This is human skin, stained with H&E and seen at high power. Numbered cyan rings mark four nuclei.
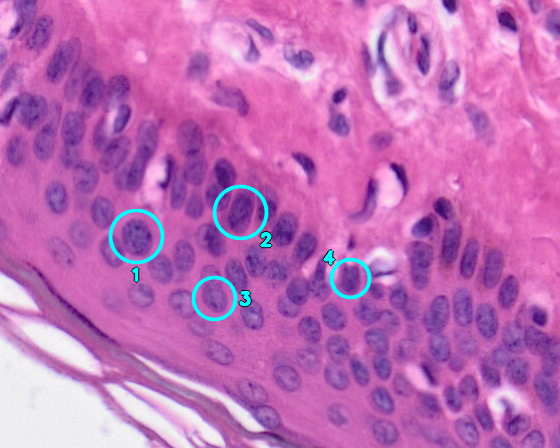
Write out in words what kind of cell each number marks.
Cells 1, 2 and 4 are basal keratinocytes. Cell 3 is a suprabasal keratinocyte.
